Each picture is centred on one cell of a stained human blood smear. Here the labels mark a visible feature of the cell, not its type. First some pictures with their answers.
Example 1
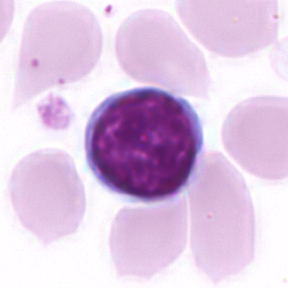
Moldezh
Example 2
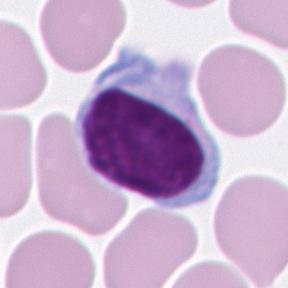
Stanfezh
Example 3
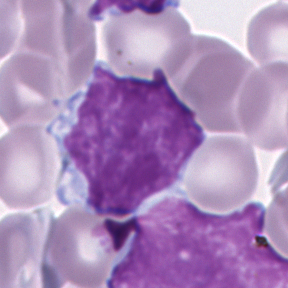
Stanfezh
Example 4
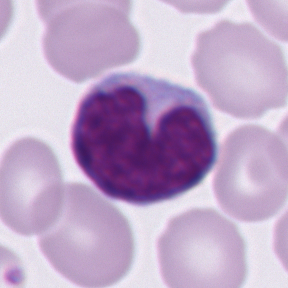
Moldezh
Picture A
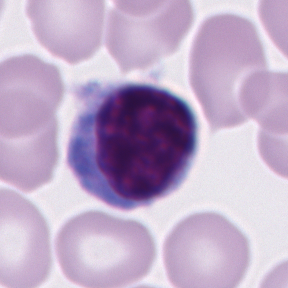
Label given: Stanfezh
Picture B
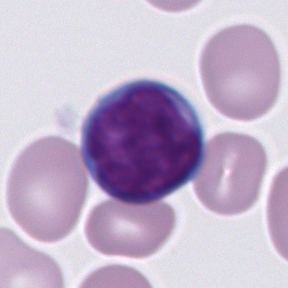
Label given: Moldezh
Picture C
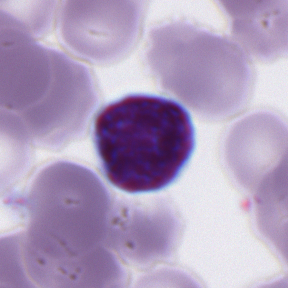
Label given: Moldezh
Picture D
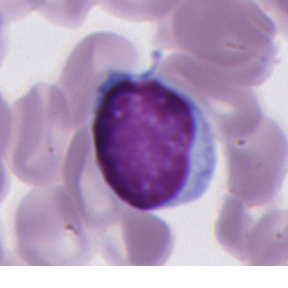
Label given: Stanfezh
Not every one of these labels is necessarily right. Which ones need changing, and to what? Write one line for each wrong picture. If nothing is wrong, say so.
Nothing to fix; every label fits.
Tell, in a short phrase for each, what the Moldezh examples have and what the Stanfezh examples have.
Moldezh: smooth outline; Stanfezh: ragged outline or projections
